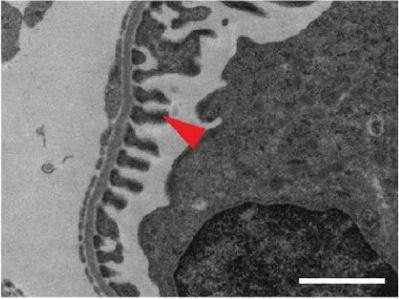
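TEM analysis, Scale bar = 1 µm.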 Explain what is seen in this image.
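Electron micrograph of a podocyte and its foot processes along a glomerular capillary wall. A thin, continuous, moderately dense basement membrane runs in a curve down the left part of the field. On one side of it, a row of small, regularly spaced foot processes rests on the membrane, separated by narrow gaps. The opposite side of the membrane borders a pale, mostly empty space with a few small particles.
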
